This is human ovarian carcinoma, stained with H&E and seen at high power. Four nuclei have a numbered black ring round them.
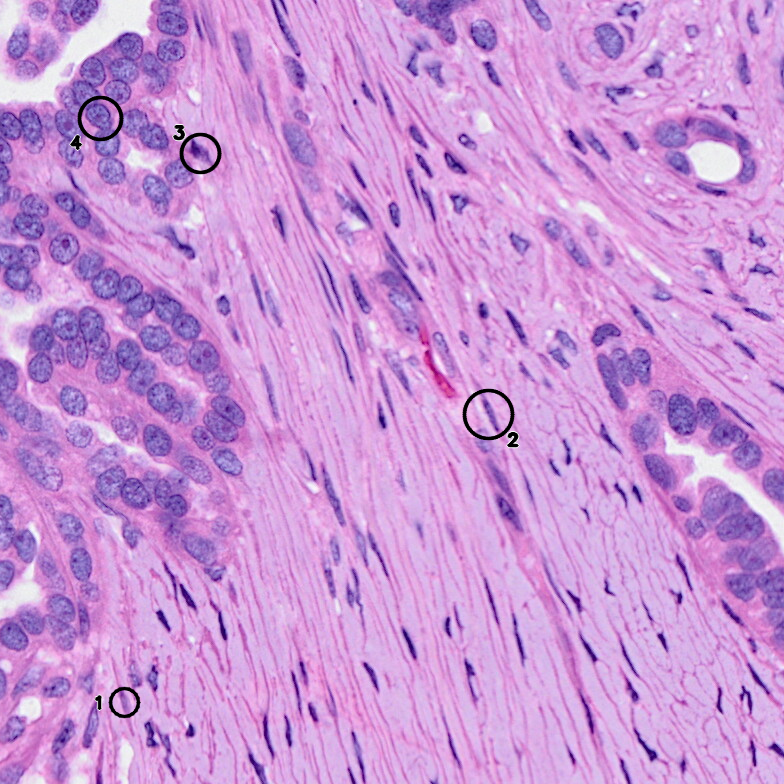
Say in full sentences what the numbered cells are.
Cells 1, 2 and 3 are fibroblasts. Cell 4 is a carcinoma cell.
